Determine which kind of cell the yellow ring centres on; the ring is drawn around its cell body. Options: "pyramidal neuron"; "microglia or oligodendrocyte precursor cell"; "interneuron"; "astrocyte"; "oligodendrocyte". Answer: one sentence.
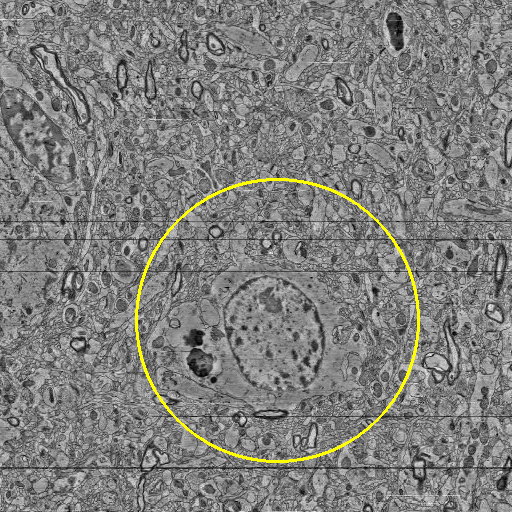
The ring centres on an astrocyte.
